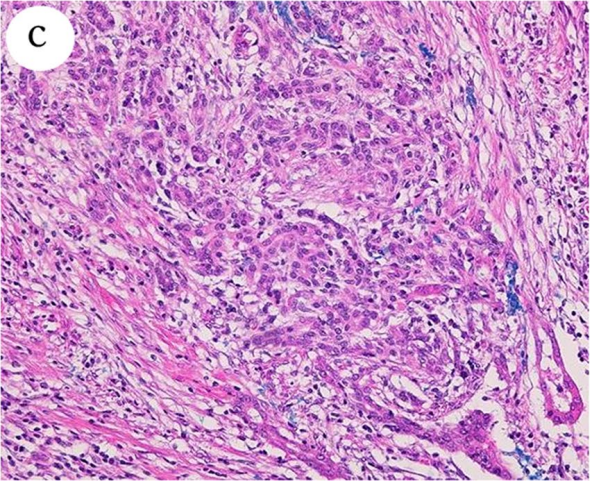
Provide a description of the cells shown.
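This is a high-power view of a carcinoma growing into fibrous tissue. The tumor cells are epithelial, with enlarged, round to oval purple nuclei and pink cytoplasm, and they crowd together in irregular cords, nests and small gland-like groups. Between these groups runs pink, streaming fibrous stroma with thin, spindle-shaped nuclei. The tumor cells vary in size and nuclear shape and have no orderly relation to the surrounding tissue, so they appear to infiltrate the stroma. A few small tubular structures are still recognisable, indicating that some gland formation persists.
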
